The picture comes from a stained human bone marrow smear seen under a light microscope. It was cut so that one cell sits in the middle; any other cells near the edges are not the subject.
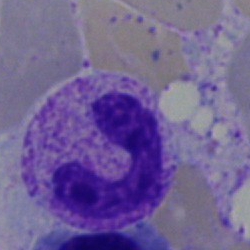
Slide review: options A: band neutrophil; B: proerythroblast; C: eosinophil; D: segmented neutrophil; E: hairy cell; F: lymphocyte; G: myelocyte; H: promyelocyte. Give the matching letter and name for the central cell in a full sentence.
The centrally positioned cell is a segmented neutrophil, consistent with option D, which is correct.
